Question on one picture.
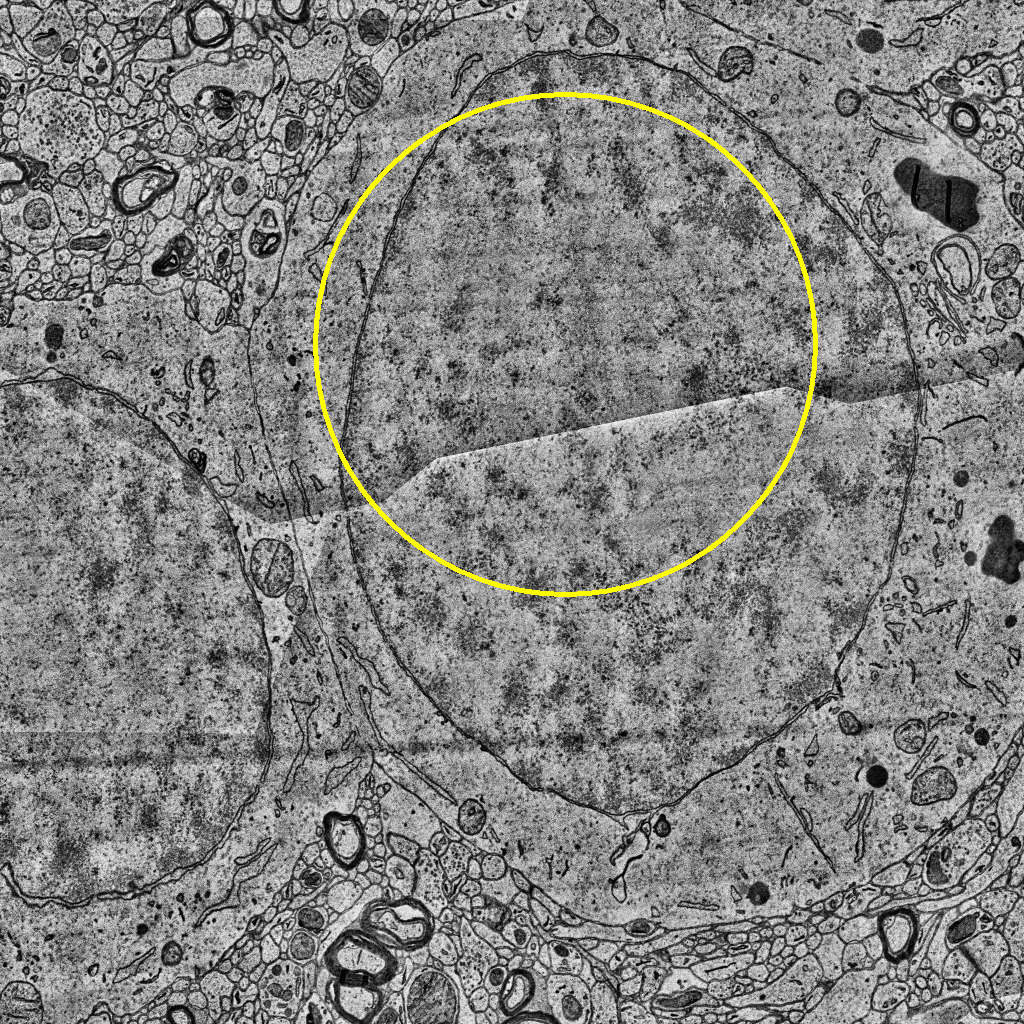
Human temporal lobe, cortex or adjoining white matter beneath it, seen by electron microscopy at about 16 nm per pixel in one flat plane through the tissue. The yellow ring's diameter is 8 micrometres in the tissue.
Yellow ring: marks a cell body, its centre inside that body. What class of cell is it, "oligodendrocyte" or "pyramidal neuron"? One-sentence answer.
This is a pyramidal neuron, the cell at the ring's centre.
